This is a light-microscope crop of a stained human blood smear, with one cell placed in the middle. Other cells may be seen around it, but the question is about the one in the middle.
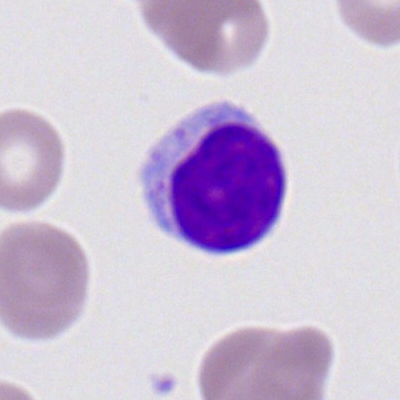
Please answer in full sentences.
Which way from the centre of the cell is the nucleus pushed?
Toward the lower right of the cell lies its nucleus.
